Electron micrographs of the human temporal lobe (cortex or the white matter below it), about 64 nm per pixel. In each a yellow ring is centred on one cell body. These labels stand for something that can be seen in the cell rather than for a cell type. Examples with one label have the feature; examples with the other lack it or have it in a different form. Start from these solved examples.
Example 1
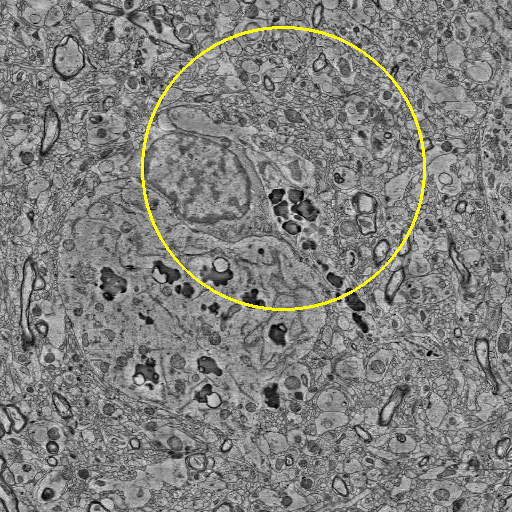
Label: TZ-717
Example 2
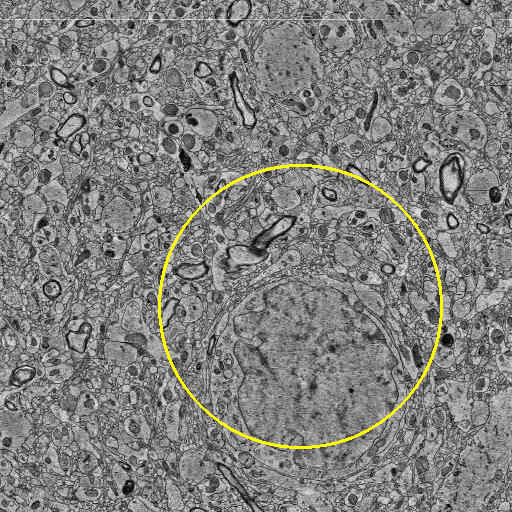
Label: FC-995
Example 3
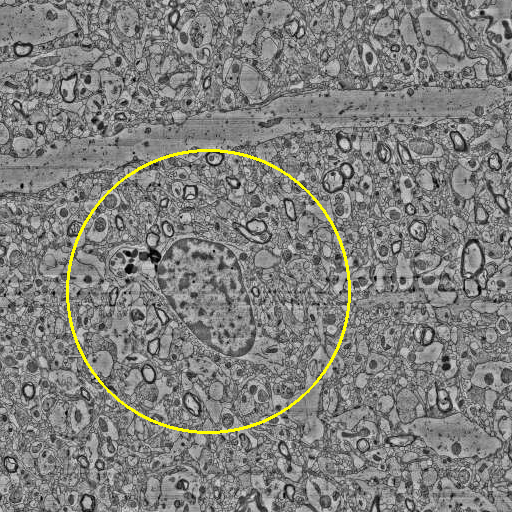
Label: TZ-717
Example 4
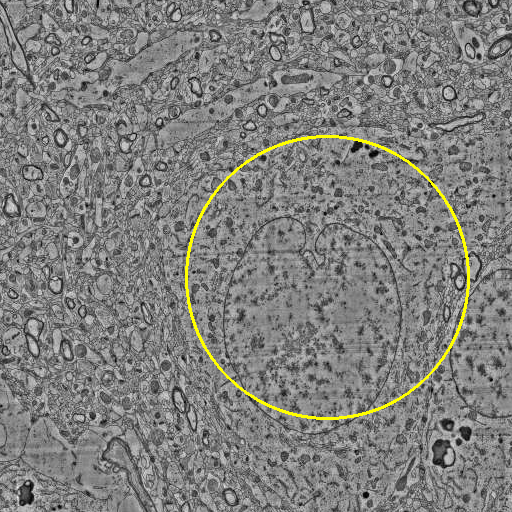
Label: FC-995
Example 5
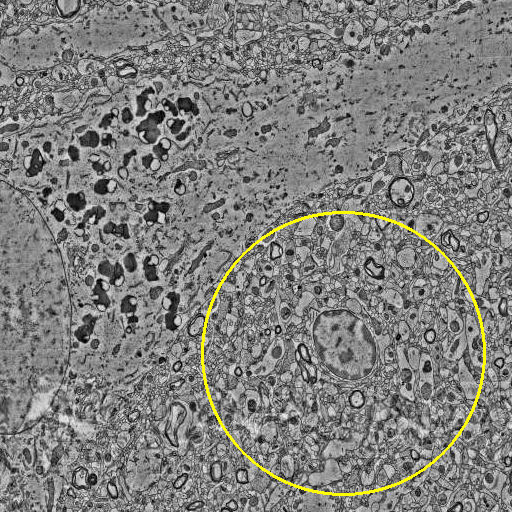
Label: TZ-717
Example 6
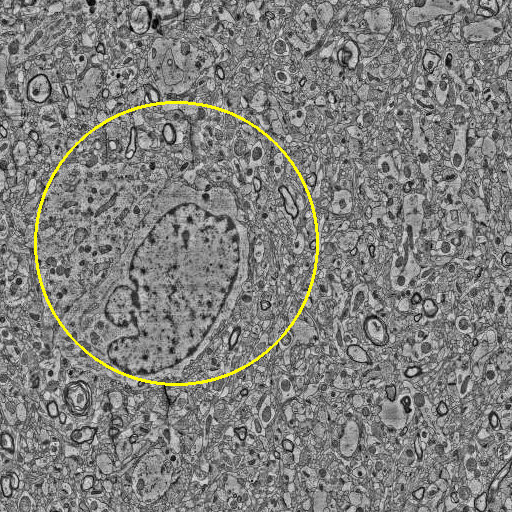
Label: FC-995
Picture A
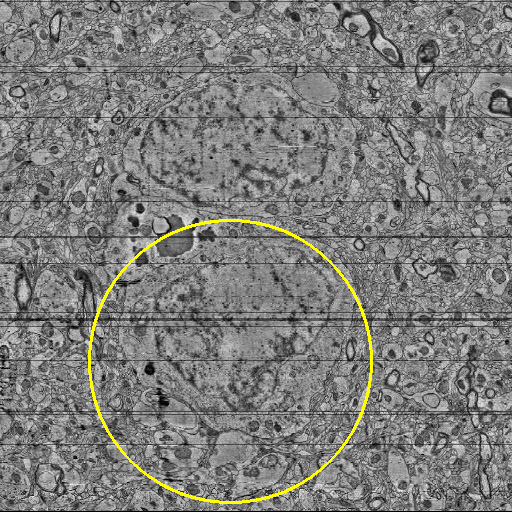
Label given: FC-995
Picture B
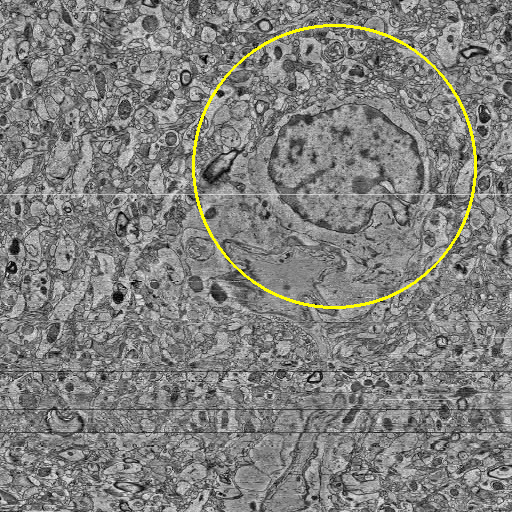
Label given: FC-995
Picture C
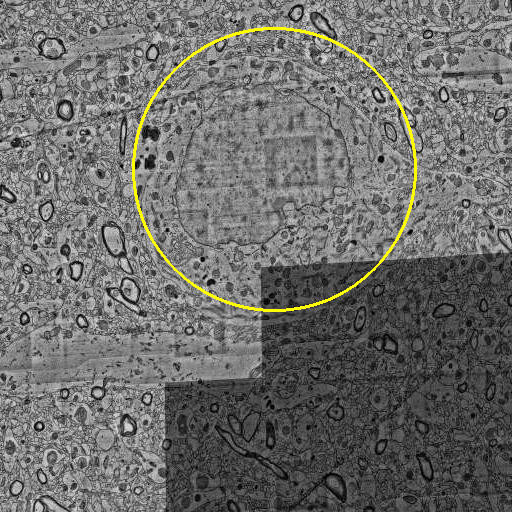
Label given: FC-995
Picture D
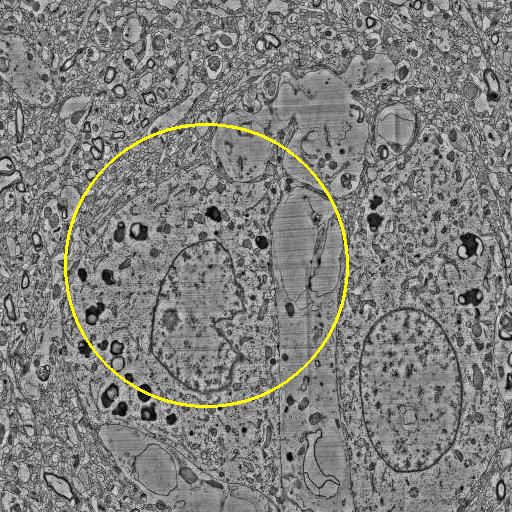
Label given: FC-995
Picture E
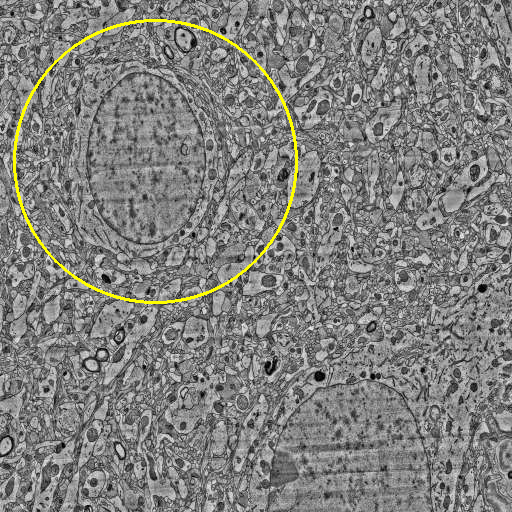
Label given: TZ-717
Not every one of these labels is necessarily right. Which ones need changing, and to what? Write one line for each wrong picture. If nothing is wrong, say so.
All labels are correct.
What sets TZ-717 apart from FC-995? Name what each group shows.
Seen in TZ-717: smooth nuclear envelopes without deep folds; seen in FC-995: deeply folded or indented nuclear envelopes.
